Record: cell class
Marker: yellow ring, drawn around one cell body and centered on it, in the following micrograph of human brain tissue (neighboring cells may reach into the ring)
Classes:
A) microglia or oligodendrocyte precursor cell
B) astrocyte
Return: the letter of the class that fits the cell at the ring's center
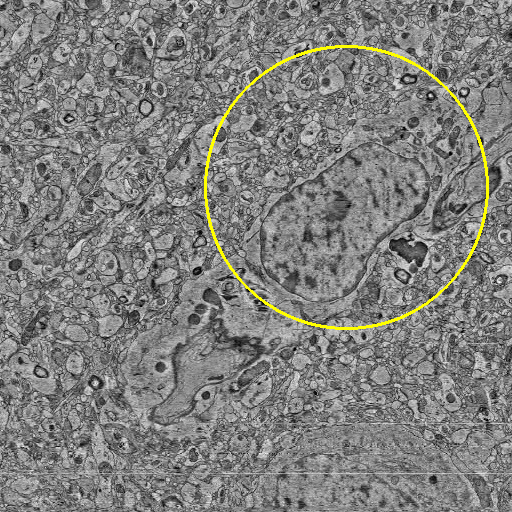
A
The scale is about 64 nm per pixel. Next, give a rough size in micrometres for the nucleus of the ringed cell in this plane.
In this plane, the nucleus of the cell at the centre of the ring measures about 10 by 8 micrometres.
